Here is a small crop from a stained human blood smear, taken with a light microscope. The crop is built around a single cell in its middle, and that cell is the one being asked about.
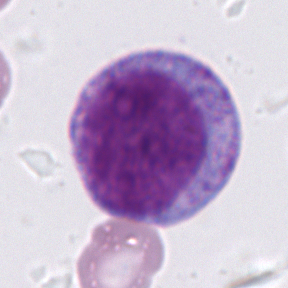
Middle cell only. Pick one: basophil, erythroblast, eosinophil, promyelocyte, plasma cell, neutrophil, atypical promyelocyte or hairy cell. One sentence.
The middle position in this crop is taken by a promyelocyte.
